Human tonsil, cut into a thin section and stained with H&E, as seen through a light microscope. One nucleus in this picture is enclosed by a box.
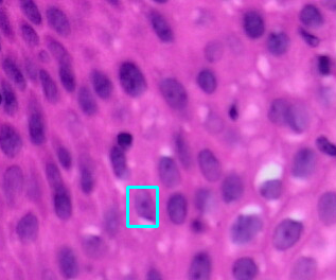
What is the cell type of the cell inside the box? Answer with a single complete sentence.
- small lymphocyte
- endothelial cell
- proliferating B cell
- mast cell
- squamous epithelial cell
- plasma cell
The cell inside the box is a squamous epithelial cell.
